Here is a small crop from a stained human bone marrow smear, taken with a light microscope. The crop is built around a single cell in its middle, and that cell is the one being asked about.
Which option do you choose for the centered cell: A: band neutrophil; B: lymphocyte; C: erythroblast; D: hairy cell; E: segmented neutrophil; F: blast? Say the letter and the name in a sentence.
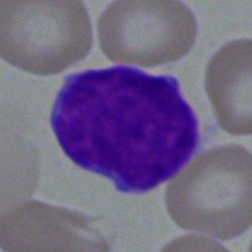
Option F holds up: the cell in the middle is a blast.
